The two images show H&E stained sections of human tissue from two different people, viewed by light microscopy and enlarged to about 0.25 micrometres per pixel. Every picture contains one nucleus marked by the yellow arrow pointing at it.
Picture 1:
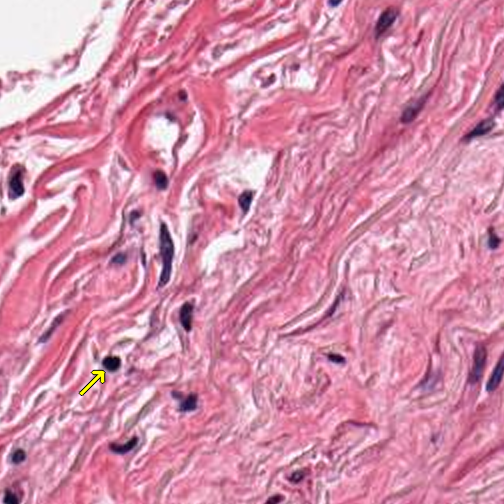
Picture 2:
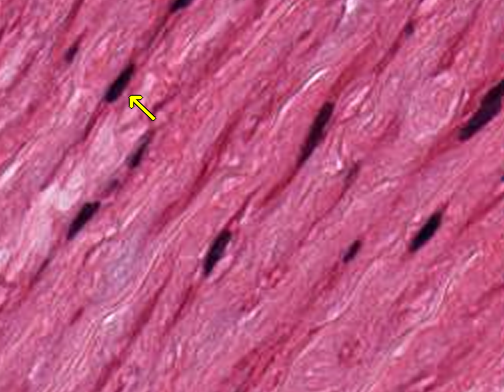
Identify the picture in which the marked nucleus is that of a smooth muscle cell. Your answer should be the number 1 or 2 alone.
2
